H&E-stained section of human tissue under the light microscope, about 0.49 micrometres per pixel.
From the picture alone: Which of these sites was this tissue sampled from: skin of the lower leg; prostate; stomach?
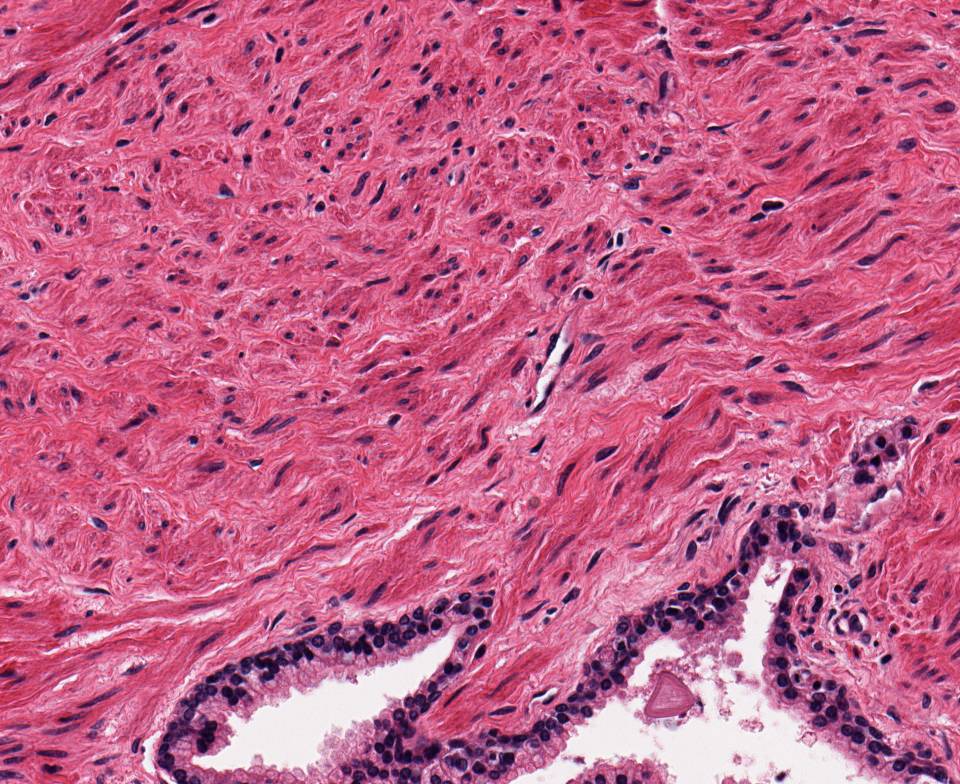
prostate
